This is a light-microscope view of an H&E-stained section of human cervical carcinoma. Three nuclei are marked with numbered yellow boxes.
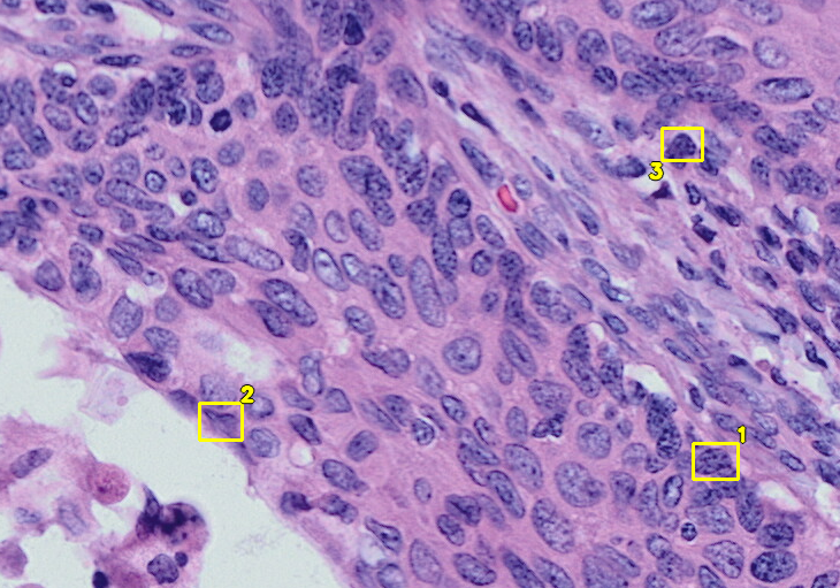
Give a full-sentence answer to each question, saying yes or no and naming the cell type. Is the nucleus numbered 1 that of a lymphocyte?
No, rather than a lymphocyte, cell number 1 is a squamous carcinoma cell.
